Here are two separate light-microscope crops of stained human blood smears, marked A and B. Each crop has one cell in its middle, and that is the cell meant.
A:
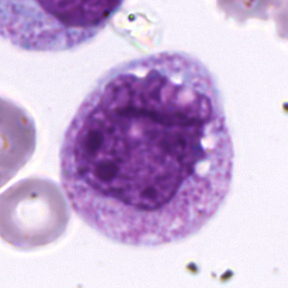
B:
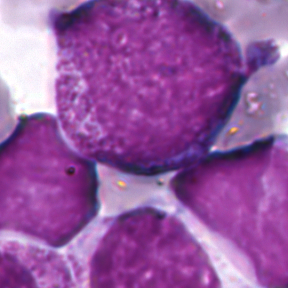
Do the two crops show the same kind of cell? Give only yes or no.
no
